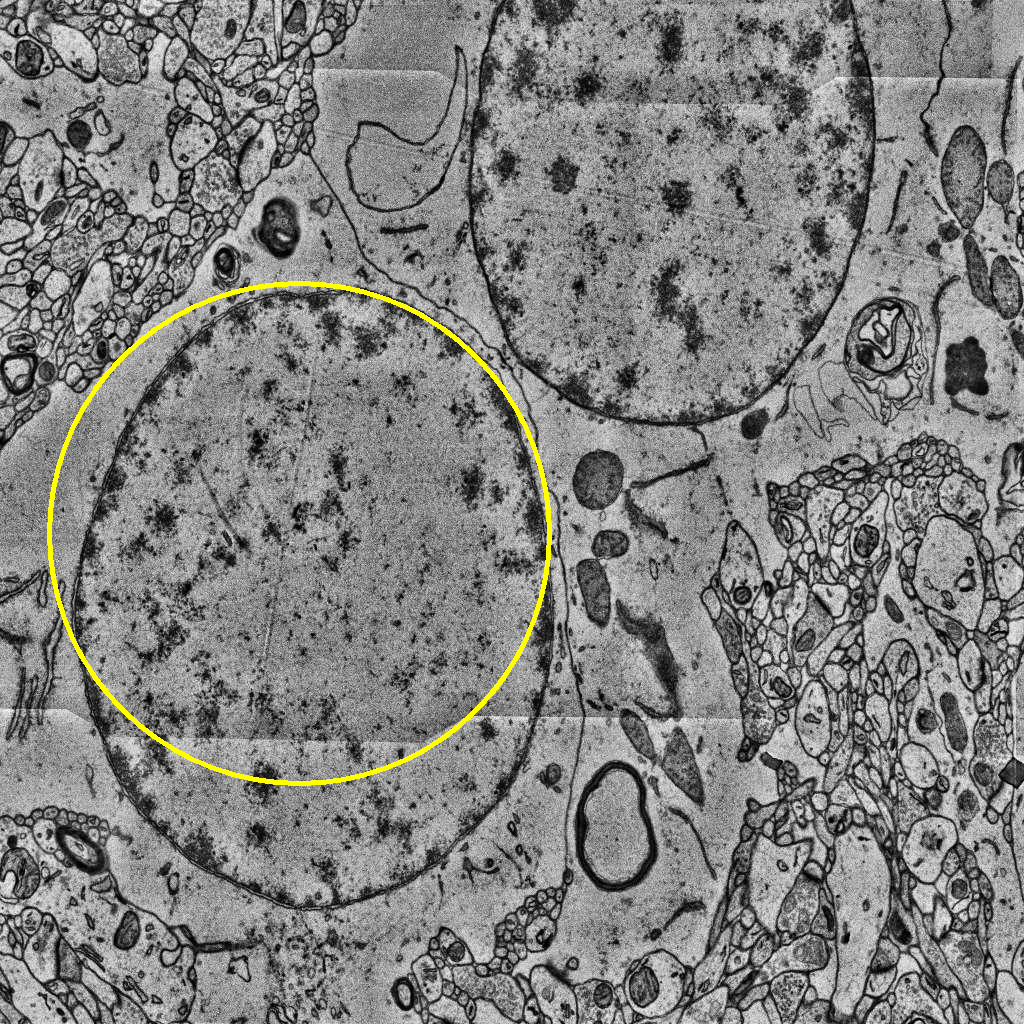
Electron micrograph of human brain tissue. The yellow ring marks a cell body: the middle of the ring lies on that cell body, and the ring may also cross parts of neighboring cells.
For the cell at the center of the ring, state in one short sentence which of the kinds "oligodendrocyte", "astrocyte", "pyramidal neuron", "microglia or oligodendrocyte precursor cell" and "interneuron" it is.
This ring's center lies on an astrocyte.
